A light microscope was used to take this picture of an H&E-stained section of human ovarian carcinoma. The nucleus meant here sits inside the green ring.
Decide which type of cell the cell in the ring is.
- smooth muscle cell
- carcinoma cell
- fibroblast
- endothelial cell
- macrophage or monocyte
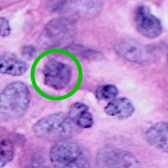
macrophage or monocyte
